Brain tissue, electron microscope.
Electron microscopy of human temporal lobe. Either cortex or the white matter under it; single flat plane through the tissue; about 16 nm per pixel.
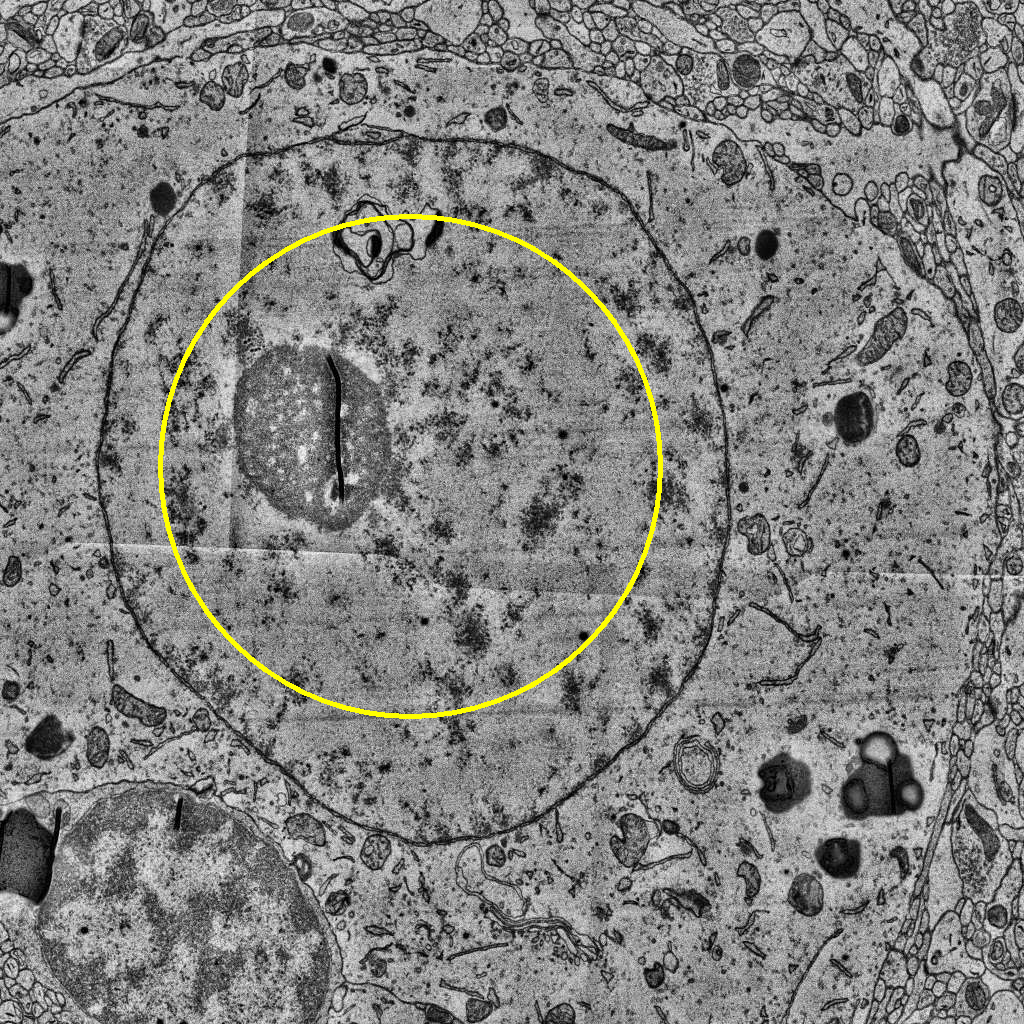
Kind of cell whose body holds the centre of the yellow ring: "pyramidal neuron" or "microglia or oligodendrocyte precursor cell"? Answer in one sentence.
The ring's centre falls on a pyramidal neuron.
